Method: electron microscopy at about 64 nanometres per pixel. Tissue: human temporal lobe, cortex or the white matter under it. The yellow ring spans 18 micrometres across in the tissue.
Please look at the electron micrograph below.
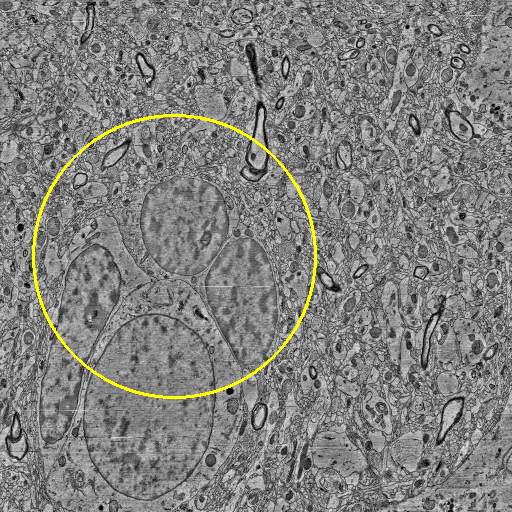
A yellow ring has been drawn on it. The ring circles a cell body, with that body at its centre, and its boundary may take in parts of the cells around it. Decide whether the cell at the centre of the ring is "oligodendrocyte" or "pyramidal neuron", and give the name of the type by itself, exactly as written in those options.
oligodendrocyte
